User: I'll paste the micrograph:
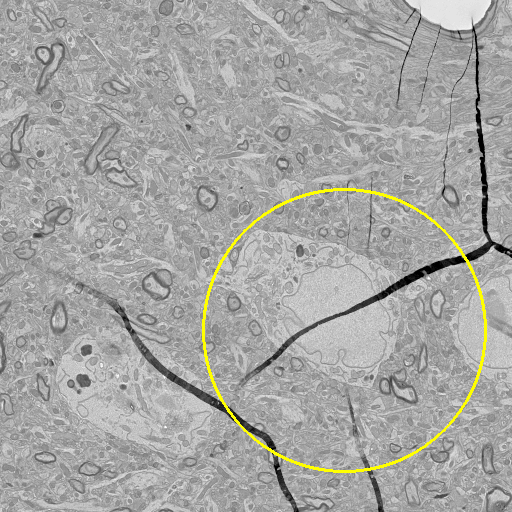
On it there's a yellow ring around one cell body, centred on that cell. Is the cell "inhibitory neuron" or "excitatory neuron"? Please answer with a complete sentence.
The cell ringed in yellow is an inhibitory neuron.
